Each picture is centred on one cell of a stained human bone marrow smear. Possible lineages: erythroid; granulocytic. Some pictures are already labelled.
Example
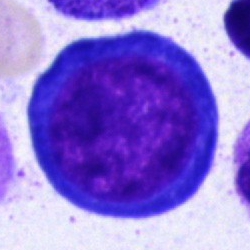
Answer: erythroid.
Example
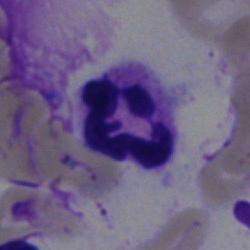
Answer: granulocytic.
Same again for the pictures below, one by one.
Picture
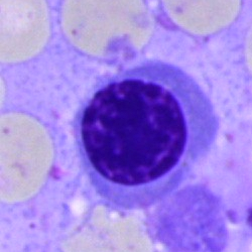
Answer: erythroid.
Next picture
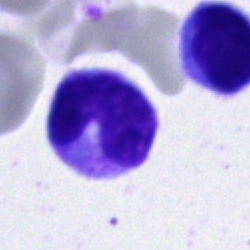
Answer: granulocytic.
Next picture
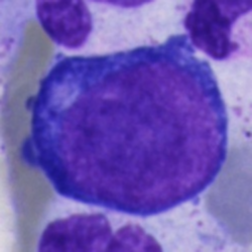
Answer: erythroid.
